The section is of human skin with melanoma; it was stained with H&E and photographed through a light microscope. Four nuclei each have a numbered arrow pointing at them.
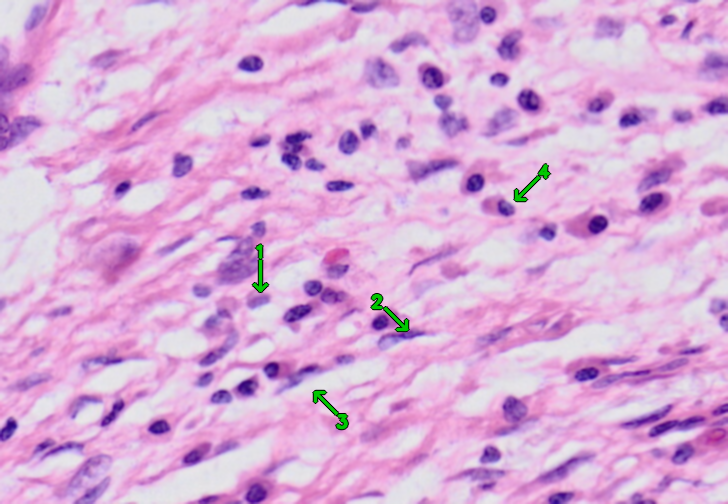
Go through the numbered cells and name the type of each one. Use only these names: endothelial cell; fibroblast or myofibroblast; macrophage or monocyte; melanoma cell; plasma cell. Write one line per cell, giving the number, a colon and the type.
1: fibroblast or myofibroblast
2: fibroblast or myofibroblast
3: fibroblast or myofibroblast
4: plasma cell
